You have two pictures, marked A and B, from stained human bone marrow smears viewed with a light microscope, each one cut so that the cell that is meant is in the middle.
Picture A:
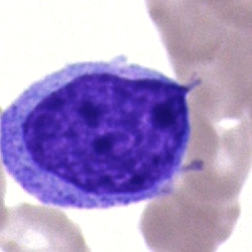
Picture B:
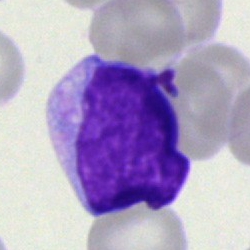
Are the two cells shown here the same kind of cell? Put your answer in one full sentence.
Yes, the two pictures both show blasts.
